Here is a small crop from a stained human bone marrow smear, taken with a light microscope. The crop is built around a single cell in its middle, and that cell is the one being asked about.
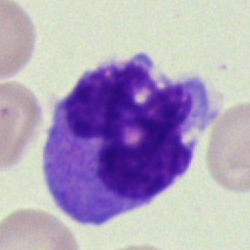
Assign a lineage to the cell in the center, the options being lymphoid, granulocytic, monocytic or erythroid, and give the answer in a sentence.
The cell at the center belongs, by lineage, to the monocytic line.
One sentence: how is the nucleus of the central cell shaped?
Look at the nucleus and you will find it divided into two or more lobes.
